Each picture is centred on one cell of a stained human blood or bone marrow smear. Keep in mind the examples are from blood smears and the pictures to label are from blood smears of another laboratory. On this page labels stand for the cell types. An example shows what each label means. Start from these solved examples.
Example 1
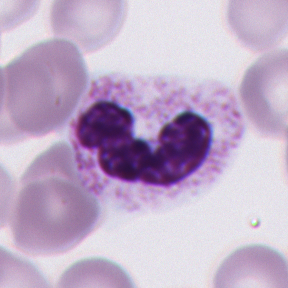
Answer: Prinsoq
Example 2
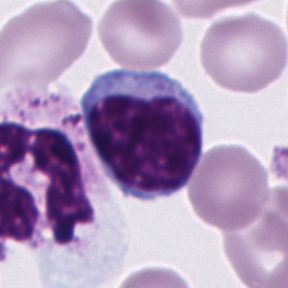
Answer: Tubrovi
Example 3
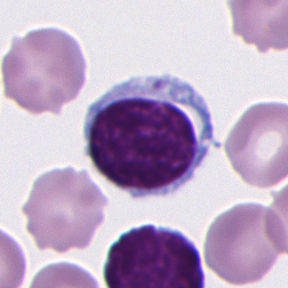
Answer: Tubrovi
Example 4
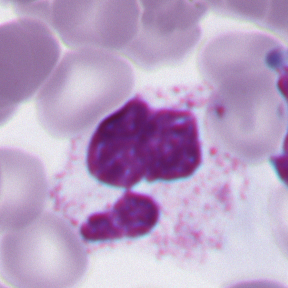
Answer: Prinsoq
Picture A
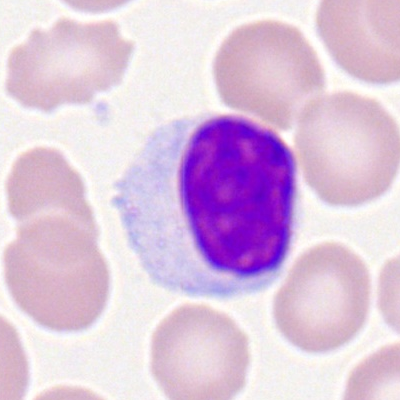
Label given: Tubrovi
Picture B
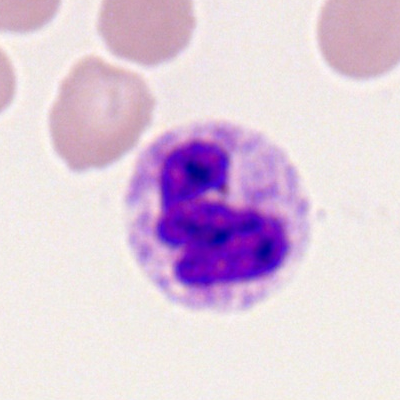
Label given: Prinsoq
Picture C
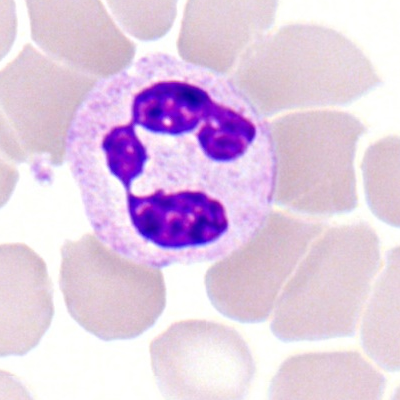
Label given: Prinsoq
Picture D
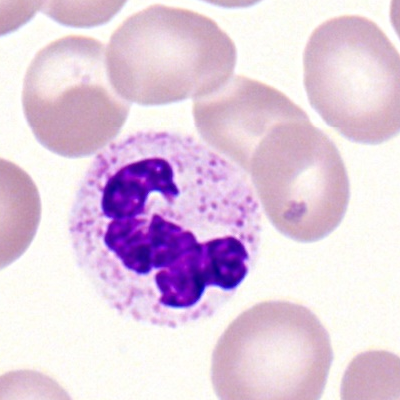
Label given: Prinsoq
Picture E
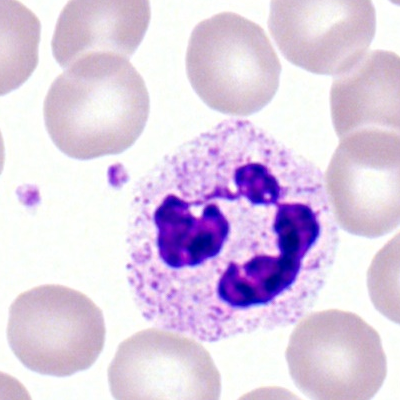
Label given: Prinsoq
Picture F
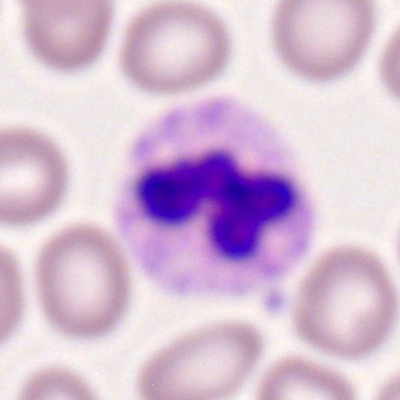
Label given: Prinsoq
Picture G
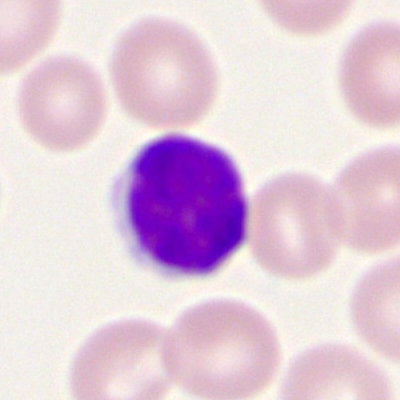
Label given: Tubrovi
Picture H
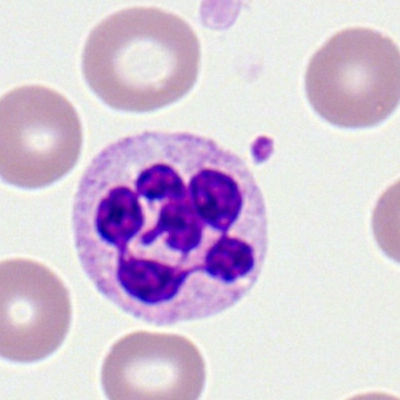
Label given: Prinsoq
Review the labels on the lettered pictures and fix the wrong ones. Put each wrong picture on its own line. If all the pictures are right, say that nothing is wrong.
No label is wrong.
